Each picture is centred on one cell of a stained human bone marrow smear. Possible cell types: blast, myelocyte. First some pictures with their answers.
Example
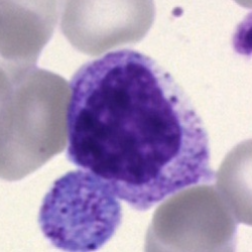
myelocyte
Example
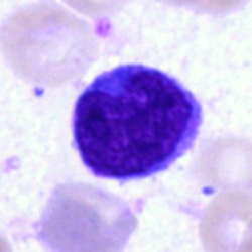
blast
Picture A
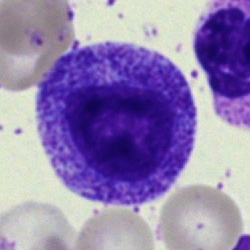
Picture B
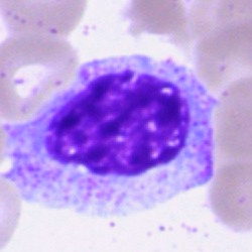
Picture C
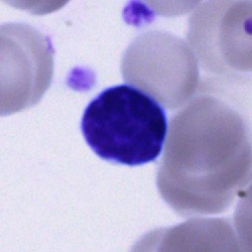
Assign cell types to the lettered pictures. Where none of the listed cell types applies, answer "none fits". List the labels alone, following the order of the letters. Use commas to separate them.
myelocyte, myelocyte, none fits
